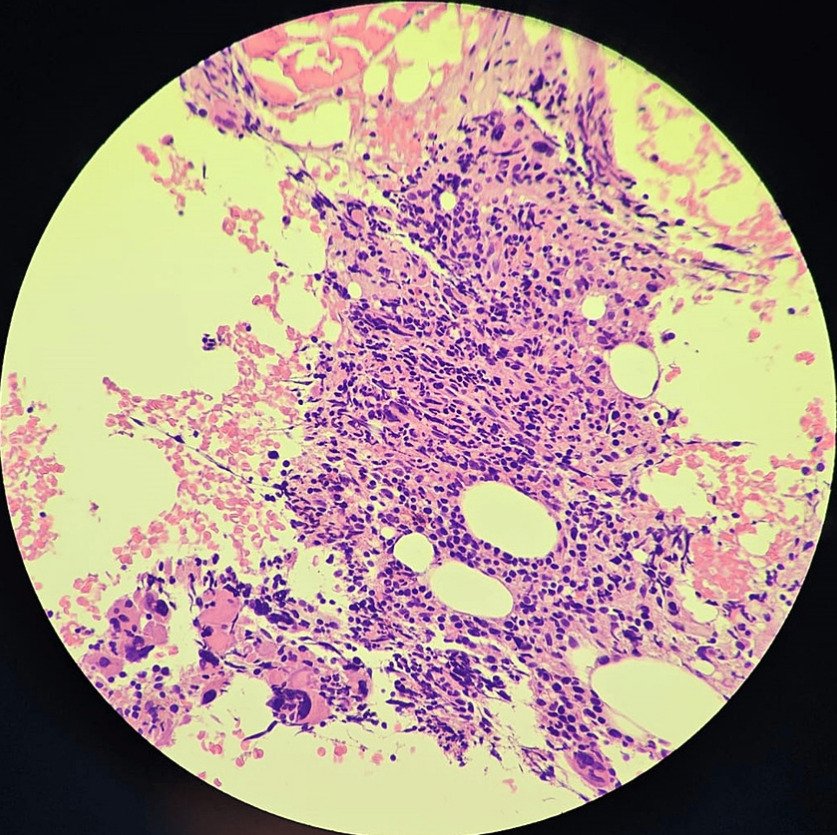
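This is bone marrow tissue with a dense, hypercellular central area. It is surrounded by scattered red blood cells and round, empty fat spaces. In the centre, many small cells with dark nuclei mix with elongated, spindle-shaped nuclei. These spindle cells run in streaming bundles through a faintly fibrillary pink stroma, which suggests focal fibrosis. At the lower left, several very large cells cluster together. They have abundant pink cytoplasm and large, dark, irregularly lobed nuclei, some of them crowded or hyperchromatic. These are megakaryocytes, increased in number and partly atypical in form.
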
